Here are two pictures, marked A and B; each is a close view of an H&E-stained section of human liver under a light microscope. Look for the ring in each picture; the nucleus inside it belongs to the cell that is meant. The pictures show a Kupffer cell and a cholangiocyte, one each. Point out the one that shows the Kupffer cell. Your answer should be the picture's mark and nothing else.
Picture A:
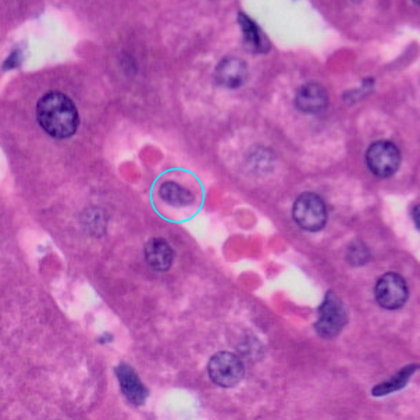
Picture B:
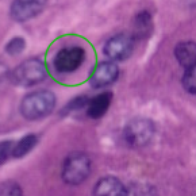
A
